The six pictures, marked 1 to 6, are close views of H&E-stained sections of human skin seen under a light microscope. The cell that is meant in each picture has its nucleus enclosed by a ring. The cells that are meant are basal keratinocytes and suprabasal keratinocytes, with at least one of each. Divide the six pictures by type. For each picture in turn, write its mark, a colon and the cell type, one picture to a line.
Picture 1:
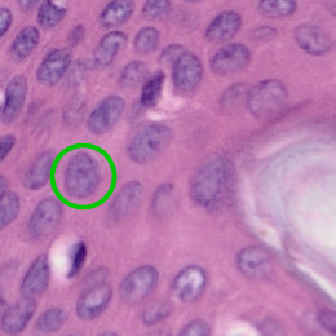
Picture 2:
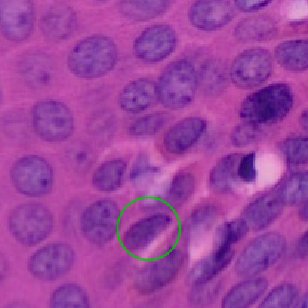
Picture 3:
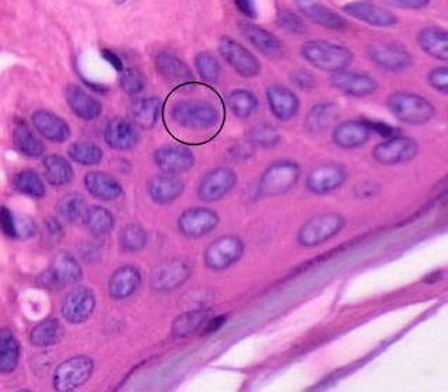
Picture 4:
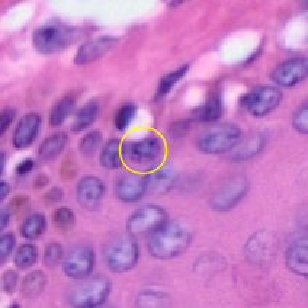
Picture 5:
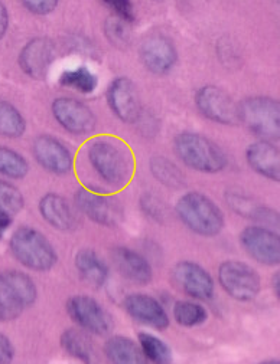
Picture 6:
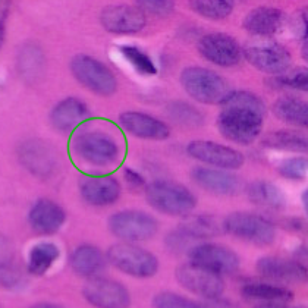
1: suprabasal keratinocyte
2: basal keratinocyte
3: basal keratinocyte
4: basal keratinocyte
5: suprabasal keratinocyte
6: suprabasal keratinocyte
